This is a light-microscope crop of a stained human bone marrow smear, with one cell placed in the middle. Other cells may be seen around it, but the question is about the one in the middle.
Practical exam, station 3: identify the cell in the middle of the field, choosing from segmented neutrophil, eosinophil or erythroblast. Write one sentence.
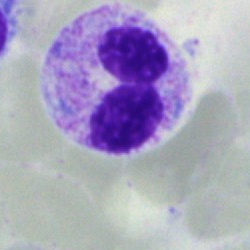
The cell centered in this field of view is a segmented neutrophil.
